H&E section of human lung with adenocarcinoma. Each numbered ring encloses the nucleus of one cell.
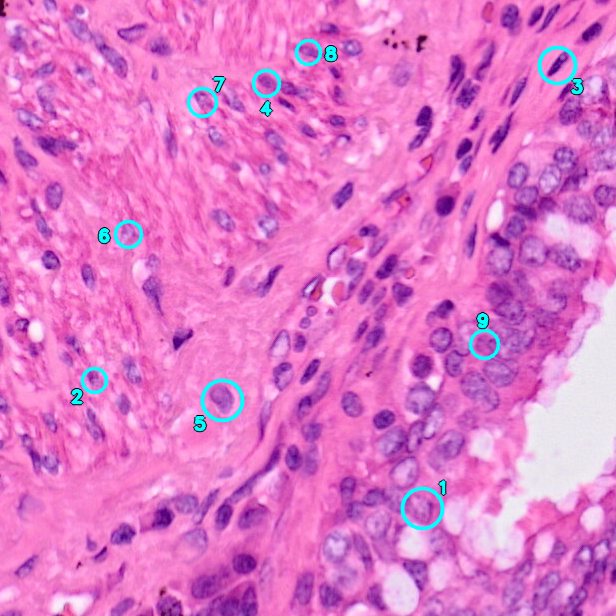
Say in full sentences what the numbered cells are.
Cells 1 and 9 are ciliated epithelial cells. Cells 2, 4, 6, 7 and 8 are smooth muscle cells or pericytes. Cell 3 is a mast cell. Cell 5 is a fibroblast.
